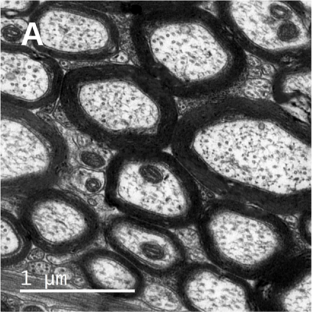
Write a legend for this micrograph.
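This electron micrograph shows densely packed myelinated axons of white matter cut in cross-section. Each axon appears as a pale round or oval profile filled with fine dots of cytoskeleton, wrapped in a thick, smooth, uniformly dark myelin sheath. The sheaths of neighbouring axons lie close against one another, with little space between them. A few small organelles, such as mitochondria, are seen inside some axons.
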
